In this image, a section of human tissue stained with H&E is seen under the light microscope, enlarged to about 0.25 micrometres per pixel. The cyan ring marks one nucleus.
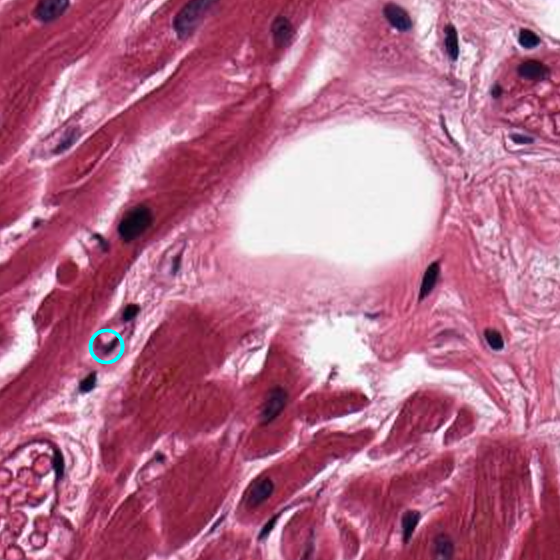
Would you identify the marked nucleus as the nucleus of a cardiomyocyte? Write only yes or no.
no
